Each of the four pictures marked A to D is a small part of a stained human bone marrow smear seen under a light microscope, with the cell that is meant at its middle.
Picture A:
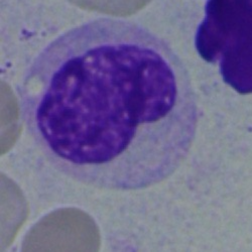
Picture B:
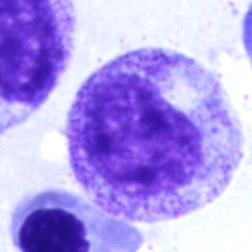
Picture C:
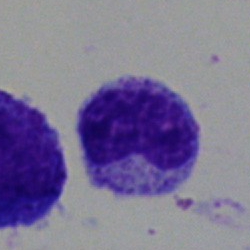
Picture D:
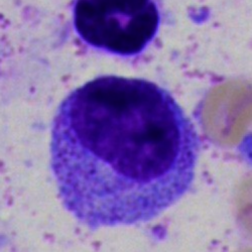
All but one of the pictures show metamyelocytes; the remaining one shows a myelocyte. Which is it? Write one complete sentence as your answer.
Picture D shows the myelocyte.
